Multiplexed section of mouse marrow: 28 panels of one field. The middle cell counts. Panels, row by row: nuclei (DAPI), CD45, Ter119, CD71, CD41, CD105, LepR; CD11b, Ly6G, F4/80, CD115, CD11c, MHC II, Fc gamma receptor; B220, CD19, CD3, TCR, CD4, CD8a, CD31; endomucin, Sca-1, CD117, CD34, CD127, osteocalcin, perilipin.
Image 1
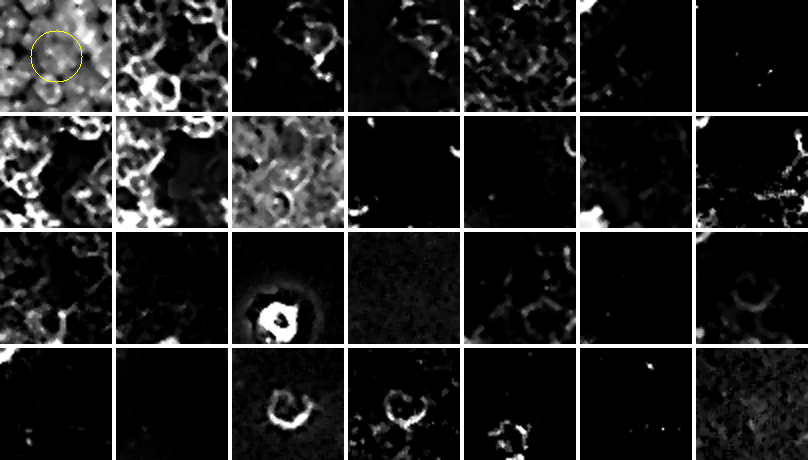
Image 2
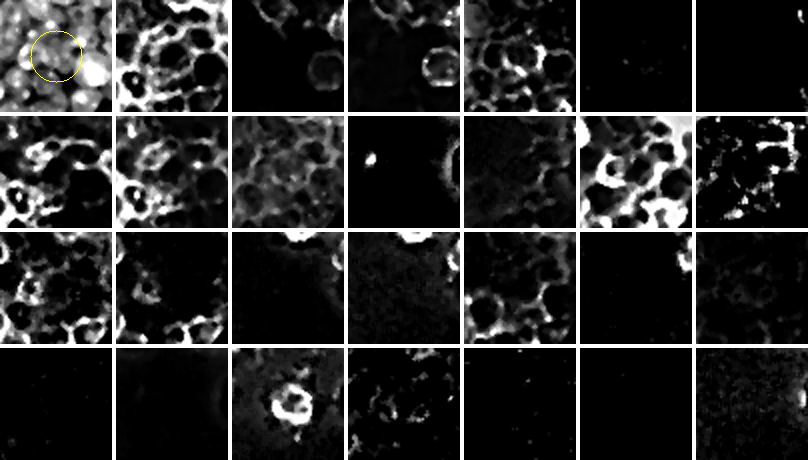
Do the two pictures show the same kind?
Yes, both are megakaryocyte-erythroid progenitors.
